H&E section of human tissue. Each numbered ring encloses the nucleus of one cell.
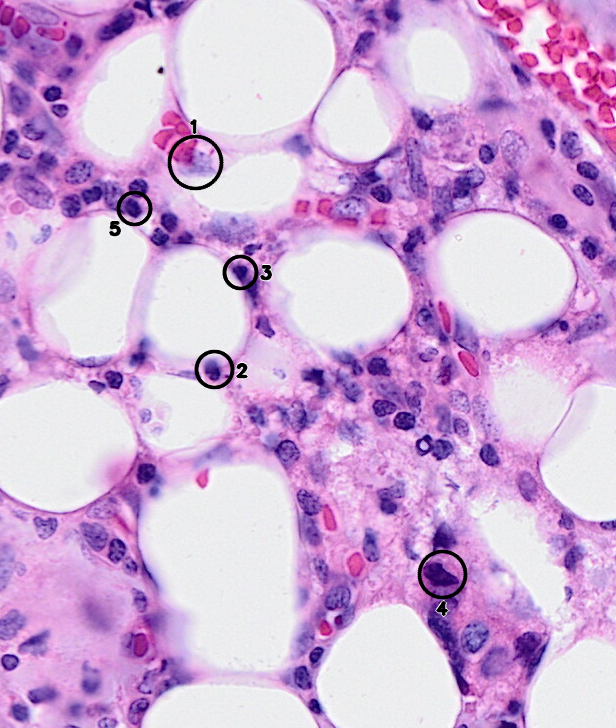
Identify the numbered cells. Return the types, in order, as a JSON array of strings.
["endothelial cell", "lymphocyte", "lymphocyte", "carcinoma cell", "lymphocyte"]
